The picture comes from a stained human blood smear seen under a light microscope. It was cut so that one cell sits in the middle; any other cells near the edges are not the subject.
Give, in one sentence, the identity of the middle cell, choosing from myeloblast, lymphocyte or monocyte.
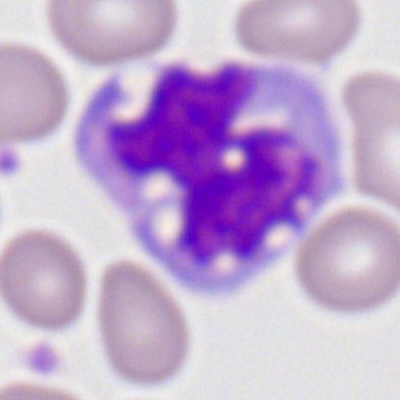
At the middle of the frame sits a monocyte.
